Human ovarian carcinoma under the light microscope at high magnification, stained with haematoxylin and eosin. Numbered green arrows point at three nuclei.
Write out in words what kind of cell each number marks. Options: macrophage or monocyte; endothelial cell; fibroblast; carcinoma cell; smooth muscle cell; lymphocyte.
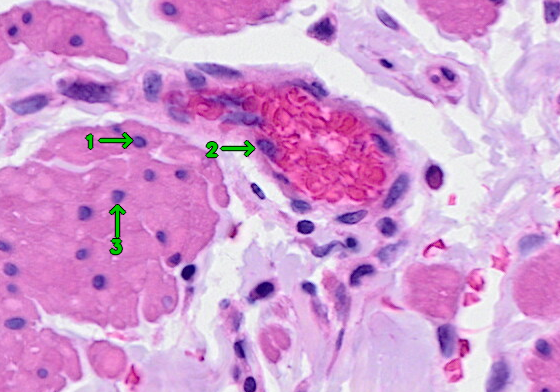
Cell 1 is a smooth muscle cell, cell 2 is an endothelial cell and cell 3 is a smooth muscle cell.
